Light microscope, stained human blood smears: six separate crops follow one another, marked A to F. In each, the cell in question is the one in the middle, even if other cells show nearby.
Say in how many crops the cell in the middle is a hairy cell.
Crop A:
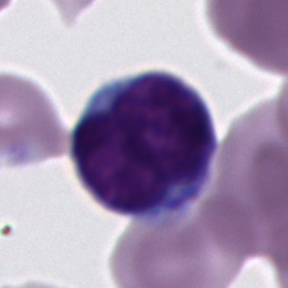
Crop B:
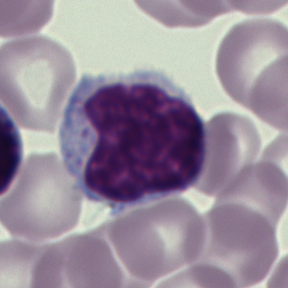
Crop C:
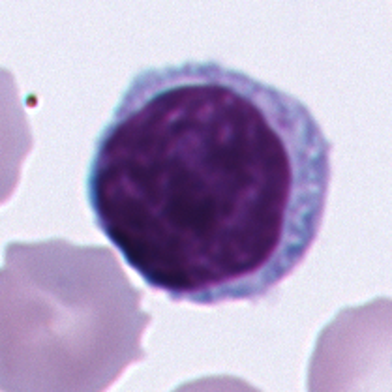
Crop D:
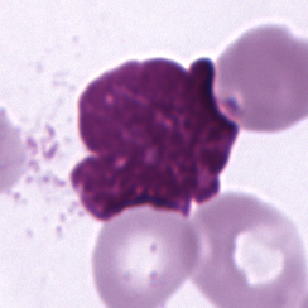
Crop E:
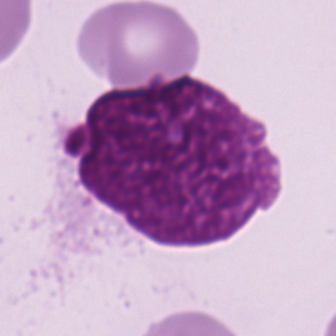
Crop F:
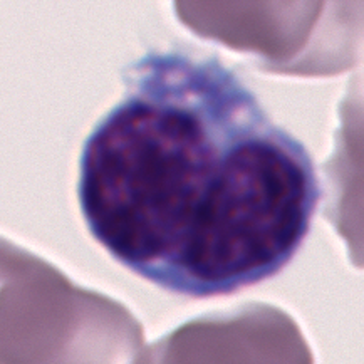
0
